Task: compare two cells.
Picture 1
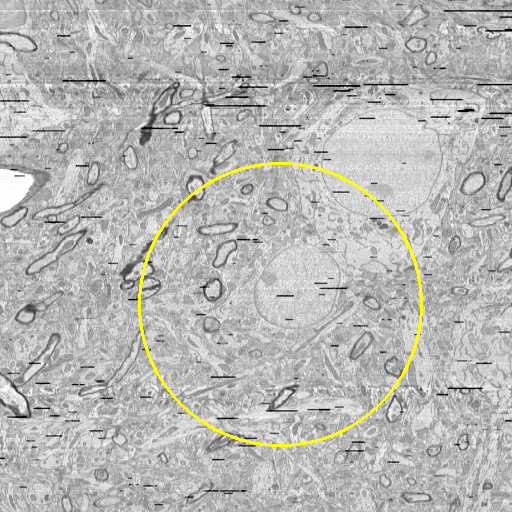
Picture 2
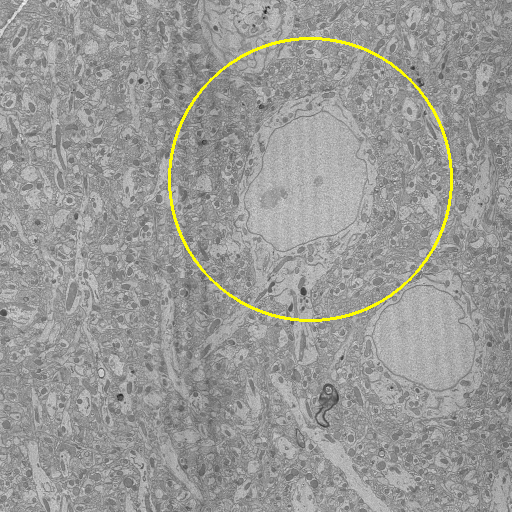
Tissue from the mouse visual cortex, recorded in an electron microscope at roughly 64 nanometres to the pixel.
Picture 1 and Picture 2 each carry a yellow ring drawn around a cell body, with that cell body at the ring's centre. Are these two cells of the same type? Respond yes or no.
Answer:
no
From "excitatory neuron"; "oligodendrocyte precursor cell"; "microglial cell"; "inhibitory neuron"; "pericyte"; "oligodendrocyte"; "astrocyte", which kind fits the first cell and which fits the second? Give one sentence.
The cell marked in the first picture is an astrocyte, and the one marked in the second is an excitatory neuron.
